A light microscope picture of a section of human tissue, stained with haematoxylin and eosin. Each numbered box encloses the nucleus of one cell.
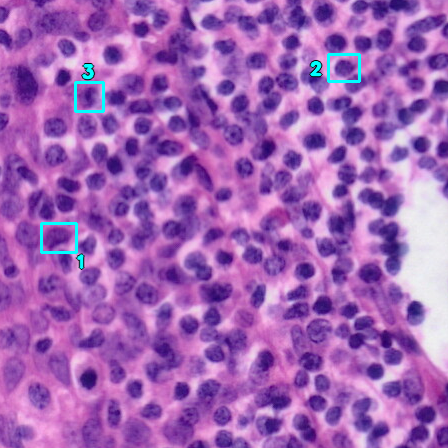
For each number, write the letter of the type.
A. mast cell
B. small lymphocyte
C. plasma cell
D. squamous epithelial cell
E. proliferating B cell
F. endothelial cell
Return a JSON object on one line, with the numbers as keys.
{"1": "D", "2": "B", "3": "C"}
